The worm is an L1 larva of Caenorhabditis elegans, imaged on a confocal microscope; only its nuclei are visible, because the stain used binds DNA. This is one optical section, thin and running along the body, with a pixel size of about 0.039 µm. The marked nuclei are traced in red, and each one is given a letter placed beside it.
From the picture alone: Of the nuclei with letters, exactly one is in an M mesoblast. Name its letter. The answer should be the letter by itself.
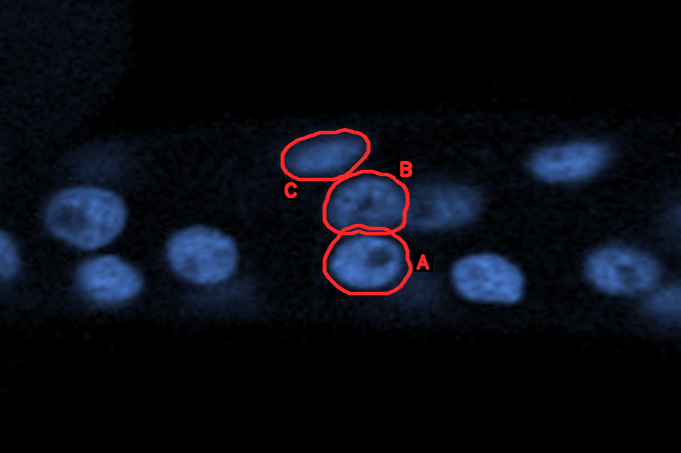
B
